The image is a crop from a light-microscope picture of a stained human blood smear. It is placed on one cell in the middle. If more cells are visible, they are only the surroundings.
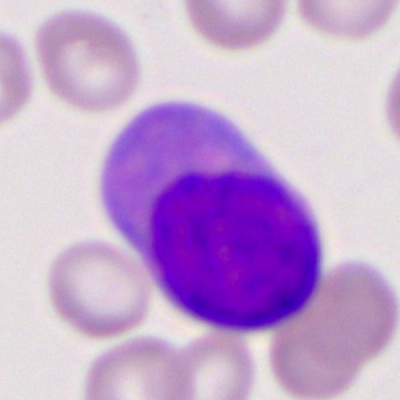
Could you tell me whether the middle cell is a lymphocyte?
no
